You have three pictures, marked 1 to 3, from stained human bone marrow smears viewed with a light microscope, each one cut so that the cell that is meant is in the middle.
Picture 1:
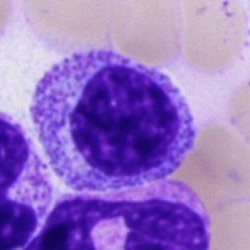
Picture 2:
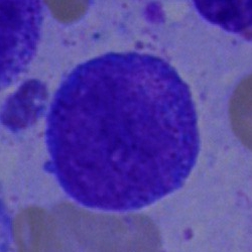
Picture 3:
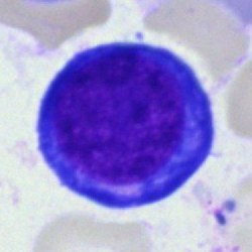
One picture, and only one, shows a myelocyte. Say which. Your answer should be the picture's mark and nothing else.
1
